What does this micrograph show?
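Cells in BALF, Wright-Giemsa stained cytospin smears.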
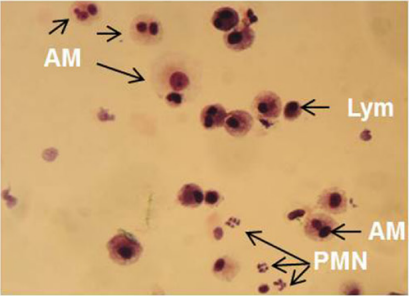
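The macrophages are the largest cells, with a broad rim of pale pink cytoplasm around a dark purple nucleus. The lymphocytes are smaller and rounder, with a dense dark nucleus and little cytoplasm. The neutrophils are small, faint cells whose nuclei are split into several small dark lobes.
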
